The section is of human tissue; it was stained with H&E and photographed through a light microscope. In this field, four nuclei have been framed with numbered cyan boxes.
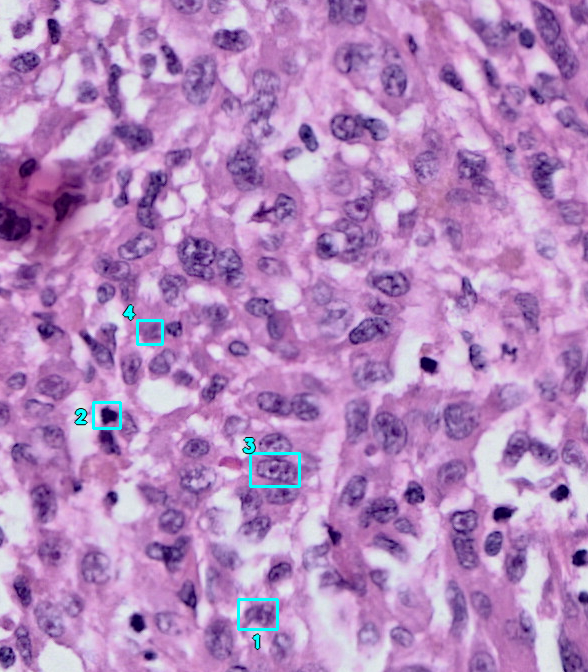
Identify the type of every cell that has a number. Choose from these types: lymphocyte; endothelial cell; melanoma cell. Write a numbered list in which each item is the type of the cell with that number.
1. melanoma cell
2. lymphocyte
3. melanoma cell
4. melanoma cell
